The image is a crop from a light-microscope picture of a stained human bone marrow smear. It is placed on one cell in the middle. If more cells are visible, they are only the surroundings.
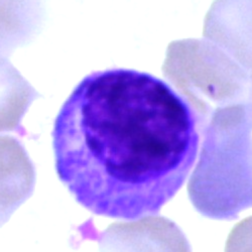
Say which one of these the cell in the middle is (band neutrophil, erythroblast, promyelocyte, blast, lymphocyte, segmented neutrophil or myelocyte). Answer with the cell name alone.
myelocyte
